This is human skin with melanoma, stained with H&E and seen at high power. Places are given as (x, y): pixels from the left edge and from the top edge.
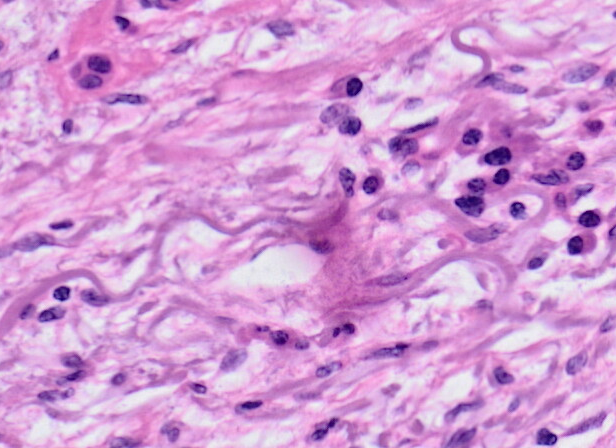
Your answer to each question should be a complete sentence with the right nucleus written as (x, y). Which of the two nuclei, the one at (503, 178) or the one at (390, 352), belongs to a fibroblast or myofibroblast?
Of the two, the nucleus at (390, 352) is the one contained in a fibroblast or myofibroblast.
